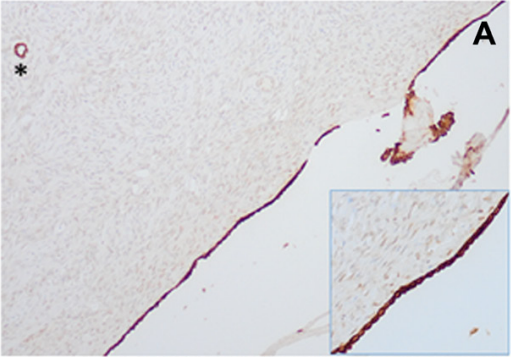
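This is ovarian tissue whose free surface is lined by epithelial cells. The surface lining is a thin, one-cell-thick layer that stains dark brown, with some detached brown fragments floating near it. A small ring-shaped follicle with a brown-stained rim lies in the stroma at the upper left.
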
